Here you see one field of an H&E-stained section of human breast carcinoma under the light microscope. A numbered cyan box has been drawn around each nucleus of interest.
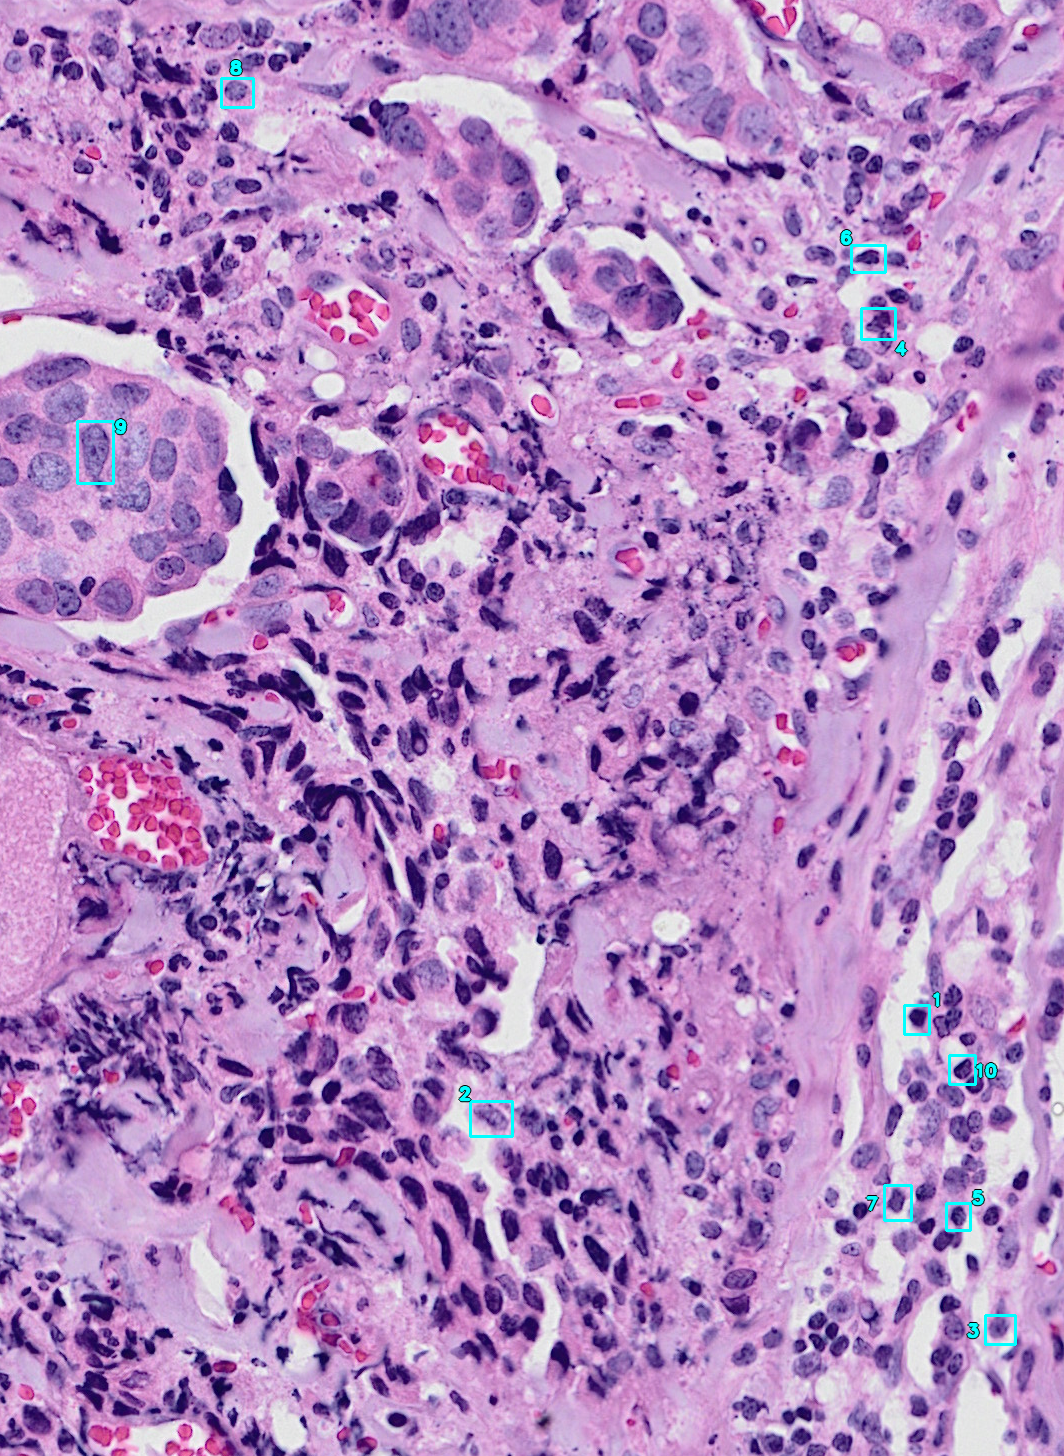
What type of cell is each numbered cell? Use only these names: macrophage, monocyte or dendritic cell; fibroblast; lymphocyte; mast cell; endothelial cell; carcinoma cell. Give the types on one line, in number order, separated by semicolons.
lymphocyte; macrophage, monocyte or dendritic cell; mast cell; lymphocyte; lymphocyte; lymphocyte; lymphocyte; mast cell; carcinoma cell; lymphocyte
